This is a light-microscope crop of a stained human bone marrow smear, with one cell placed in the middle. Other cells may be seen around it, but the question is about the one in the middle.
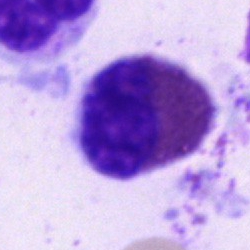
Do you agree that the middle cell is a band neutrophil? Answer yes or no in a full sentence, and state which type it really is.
No, the cell in the middle should be called an eosinophil instead of a band neutrophil.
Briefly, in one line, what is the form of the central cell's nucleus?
Just one compact nuclear mass here, round, oval or kidney-shaped.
